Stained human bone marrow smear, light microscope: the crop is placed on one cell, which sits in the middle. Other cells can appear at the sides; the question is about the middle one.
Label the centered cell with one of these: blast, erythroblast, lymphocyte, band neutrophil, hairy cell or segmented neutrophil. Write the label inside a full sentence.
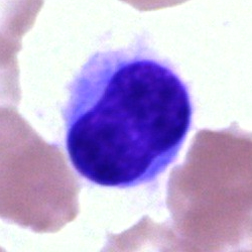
The cell at the middle of the frame should be recorded as a hairy cell.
